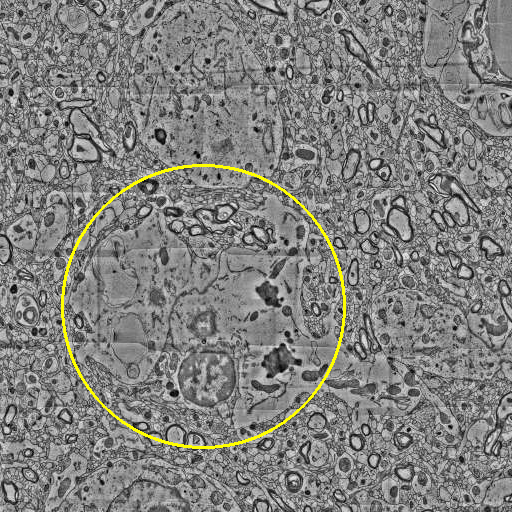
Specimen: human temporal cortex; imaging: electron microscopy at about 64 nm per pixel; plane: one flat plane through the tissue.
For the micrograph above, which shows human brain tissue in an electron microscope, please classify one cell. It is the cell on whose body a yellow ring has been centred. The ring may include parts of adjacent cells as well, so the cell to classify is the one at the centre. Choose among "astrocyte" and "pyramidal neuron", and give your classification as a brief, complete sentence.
I classify this cell as an astrocyte.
